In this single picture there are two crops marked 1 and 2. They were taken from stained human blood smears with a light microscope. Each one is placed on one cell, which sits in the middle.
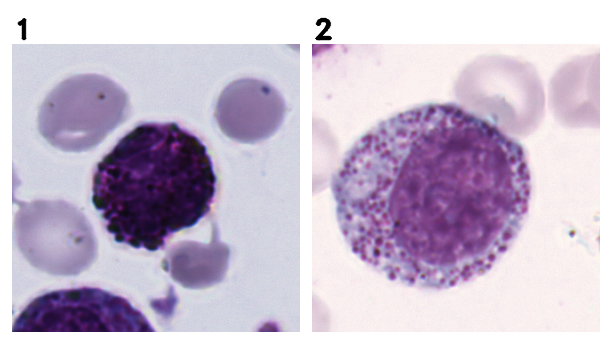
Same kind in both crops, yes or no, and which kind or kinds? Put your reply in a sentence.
No, crop 1 shows a basophil and crop 2 a promyelocyte.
